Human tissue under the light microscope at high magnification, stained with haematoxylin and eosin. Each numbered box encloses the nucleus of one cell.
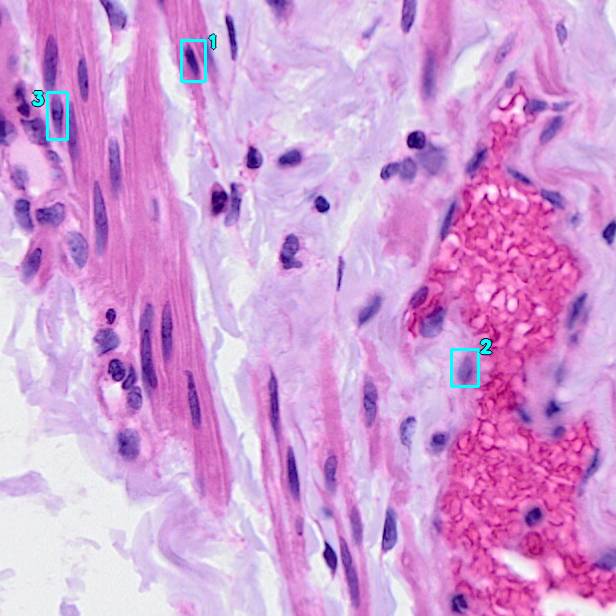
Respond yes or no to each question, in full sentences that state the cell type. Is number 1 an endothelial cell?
No, cell 1 is not an endothelial cell. It is a smooth muscle cell.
